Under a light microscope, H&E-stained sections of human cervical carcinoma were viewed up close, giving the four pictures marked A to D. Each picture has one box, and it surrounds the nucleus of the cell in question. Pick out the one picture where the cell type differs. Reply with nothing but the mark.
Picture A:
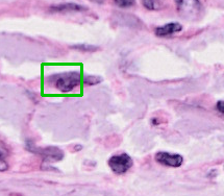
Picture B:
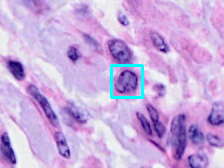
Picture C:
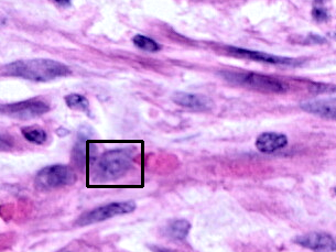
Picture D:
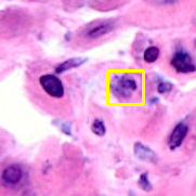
C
